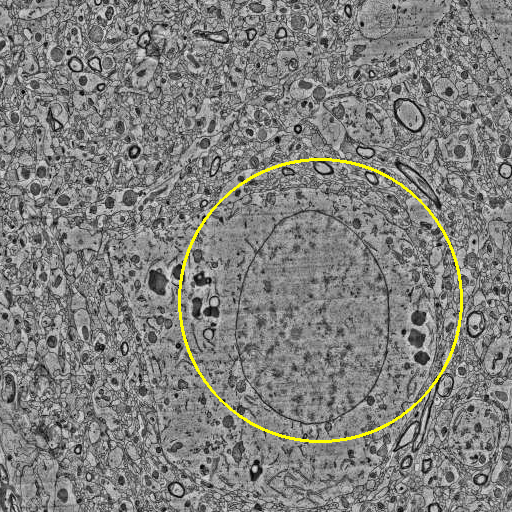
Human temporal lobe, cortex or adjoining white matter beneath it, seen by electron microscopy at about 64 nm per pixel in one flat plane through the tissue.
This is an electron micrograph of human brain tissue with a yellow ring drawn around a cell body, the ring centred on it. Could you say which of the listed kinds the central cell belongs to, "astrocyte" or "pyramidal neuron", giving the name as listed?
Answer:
pyramidal neuron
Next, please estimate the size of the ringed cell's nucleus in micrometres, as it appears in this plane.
Approximately 14 by 10 micrometers in this plane.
